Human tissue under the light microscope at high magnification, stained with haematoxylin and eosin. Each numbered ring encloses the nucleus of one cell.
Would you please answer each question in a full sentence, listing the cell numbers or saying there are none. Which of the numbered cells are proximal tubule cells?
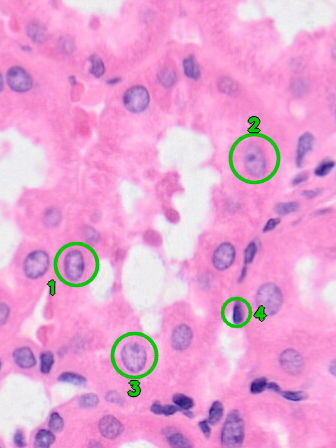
The cells referred to by numbers 1, 2 and 3 are proximal tubule cells.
